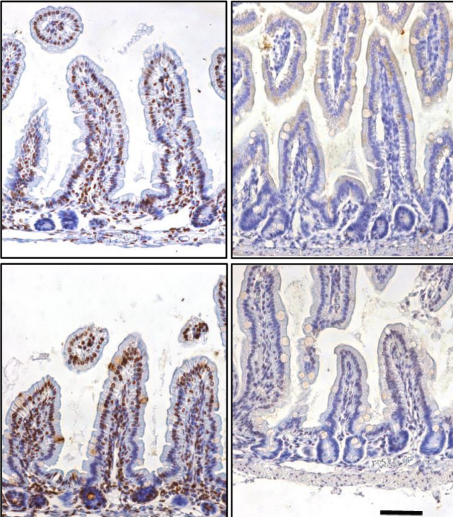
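This grid of four sections shows small intestine. Long, slender villi project into the lumen, with crypts and a thin band of smooth muscle at the base. Each villus is covered by a single layer of tall columnar epithelial cells with basal, elongated nuclei. Scattered pale, rounded, goblet-shaped cells lie within this lining. Each villus has a core of loose connective tissue. In the left-hand images, many nuclei of the epithelium and of the villus cores are stained brown. A faint, diffuse tan tinge runs along the brush border.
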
